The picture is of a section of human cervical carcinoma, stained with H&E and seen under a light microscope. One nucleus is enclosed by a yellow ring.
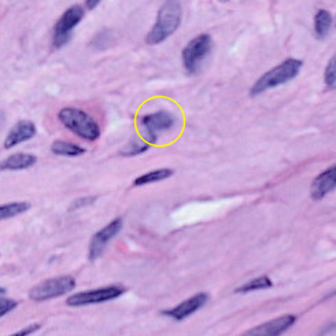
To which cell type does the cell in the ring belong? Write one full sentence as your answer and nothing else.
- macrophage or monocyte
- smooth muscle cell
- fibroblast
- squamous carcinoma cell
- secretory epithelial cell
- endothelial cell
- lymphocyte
It is a fibroblast that the cell in the ring represents.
